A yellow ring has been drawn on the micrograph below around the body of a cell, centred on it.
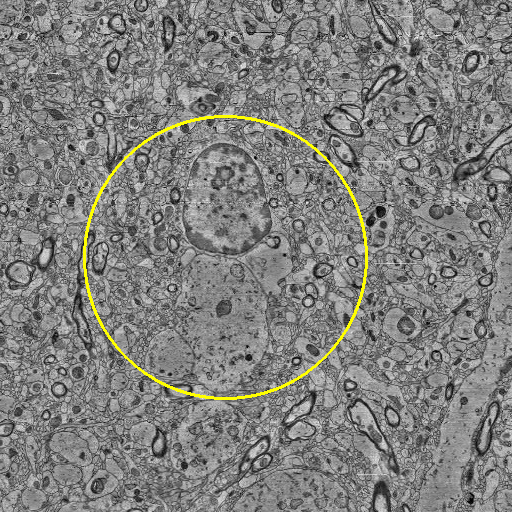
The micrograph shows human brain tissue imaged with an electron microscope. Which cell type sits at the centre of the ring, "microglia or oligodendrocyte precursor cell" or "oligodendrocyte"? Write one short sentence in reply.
The cell sitting at the centre of the ring is a microglial cell or oligodendrocyte precursor cell.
